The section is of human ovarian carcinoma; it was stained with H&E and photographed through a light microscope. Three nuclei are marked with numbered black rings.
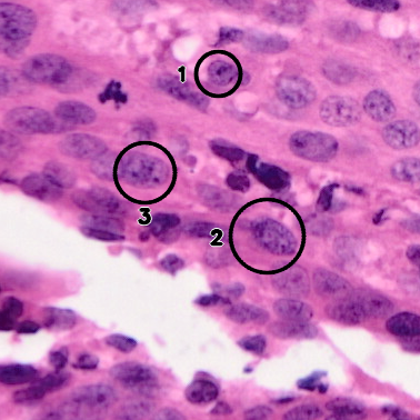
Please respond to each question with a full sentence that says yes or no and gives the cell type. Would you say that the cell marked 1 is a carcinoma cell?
No, cell 1 is not a carcinoma cell: it is a macrophage or monocyte.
